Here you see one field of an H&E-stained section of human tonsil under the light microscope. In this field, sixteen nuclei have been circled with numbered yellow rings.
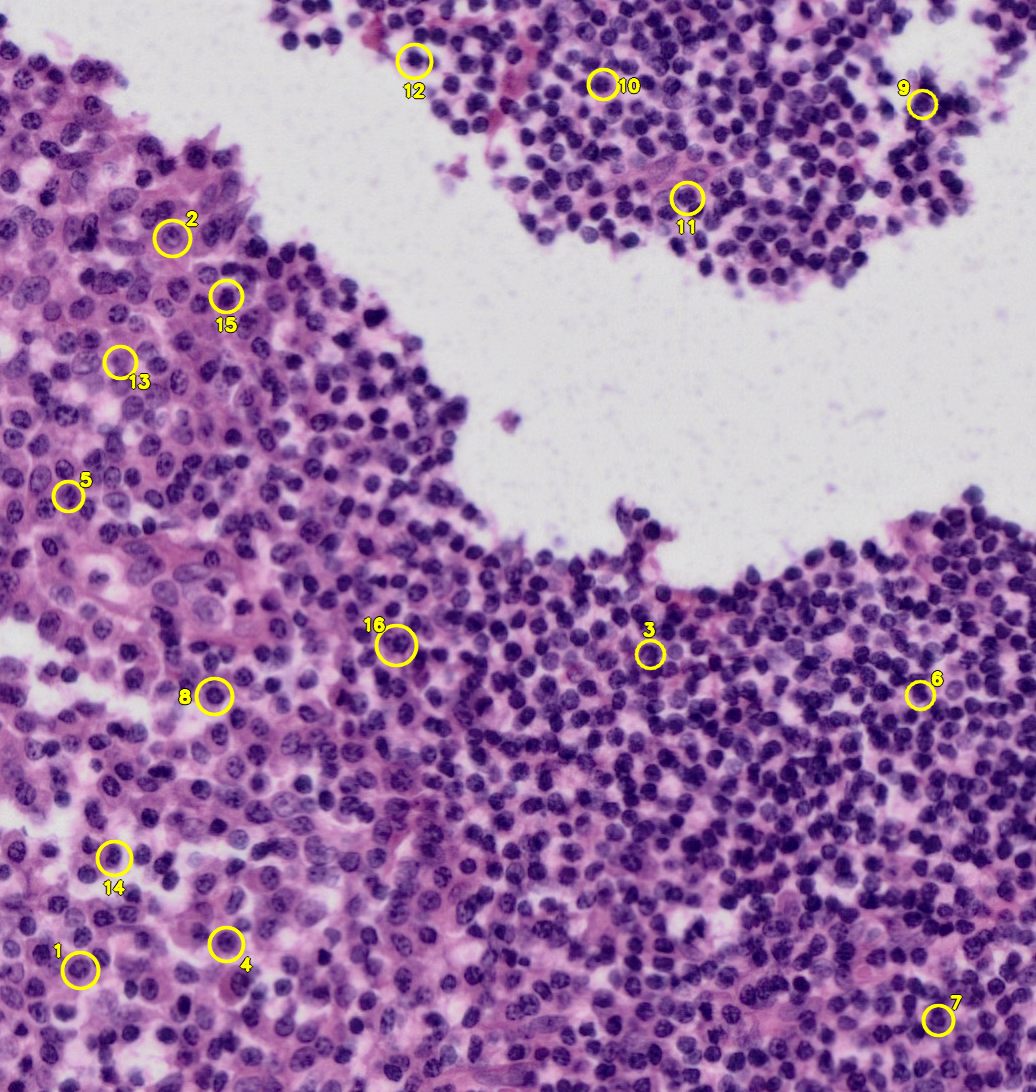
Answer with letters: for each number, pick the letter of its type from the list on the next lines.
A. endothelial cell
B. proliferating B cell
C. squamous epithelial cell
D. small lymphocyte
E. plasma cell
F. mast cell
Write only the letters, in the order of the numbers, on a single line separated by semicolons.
E; E; D; E; E; D; D; E; D; D; D; D; E; E; E; E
